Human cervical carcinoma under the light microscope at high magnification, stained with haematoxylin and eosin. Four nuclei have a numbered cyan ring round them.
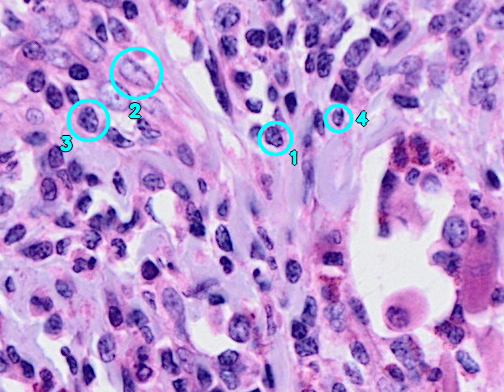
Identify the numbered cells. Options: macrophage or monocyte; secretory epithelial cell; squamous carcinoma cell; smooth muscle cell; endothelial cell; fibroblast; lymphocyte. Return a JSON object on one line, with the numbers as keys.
{"1": "lymphocyte", "2": "endothelial cell", "3": "lymphocyte", "4": "lymphocyte"}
